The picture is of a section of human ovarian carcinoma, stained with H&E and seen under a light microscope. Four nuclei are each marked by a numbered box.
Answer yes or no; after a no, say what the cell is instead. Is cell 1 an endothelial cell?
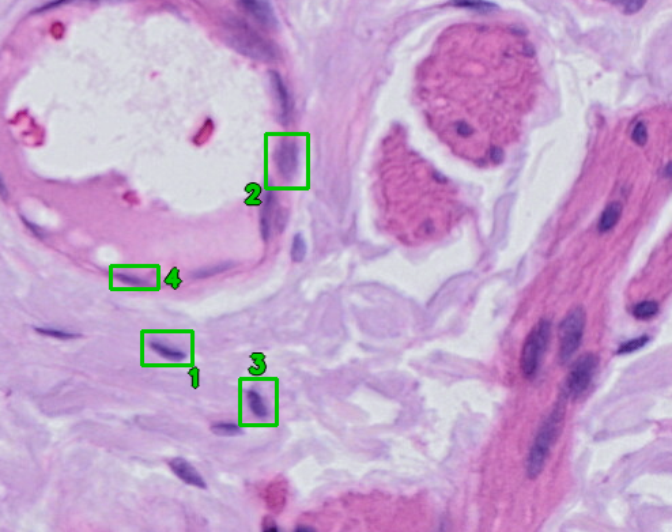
No, it is a fibroblast.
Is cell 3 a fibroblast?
Yes.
